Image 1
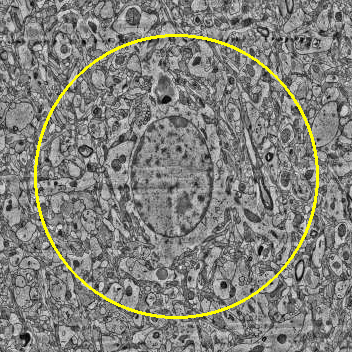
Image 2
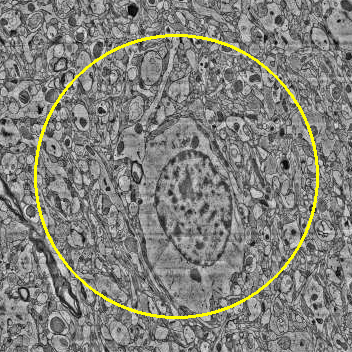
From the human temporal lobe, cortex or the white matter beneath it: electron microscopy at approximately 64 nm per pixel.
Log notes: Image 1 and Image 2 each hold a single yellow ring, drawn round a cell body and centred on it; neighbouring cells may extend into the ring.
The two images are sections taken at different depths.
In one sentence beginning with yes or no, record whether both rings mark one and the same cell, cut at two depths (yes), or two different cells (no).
No, these two rings belong to two distinct cells.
